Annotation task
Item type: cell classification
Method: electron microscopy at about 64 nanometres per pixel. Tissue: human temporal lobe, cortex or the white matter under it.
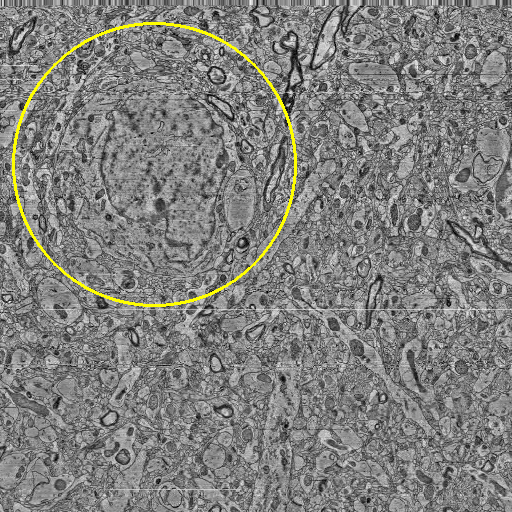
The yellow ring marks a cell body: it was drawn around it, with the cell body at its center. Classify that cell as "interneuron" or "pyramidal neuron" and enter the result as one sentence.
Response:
The ring's center falls on an interneuron.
